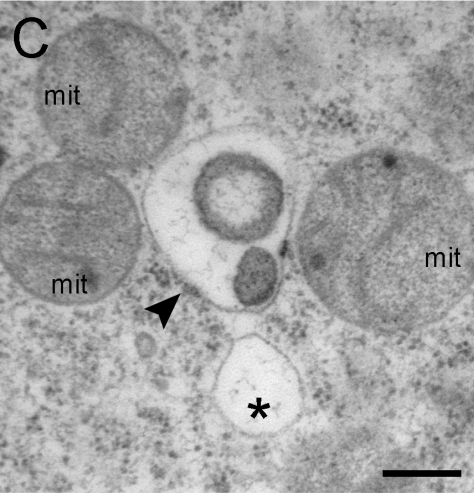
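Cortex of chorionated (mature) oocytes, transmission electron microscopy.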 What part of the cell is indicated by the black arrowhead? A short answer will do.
autophagic organelles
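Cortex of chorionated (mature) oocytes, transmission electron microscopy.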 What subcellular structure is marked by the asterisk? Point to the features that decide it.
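The marked structure is a membrane-bound space with pale, nearly featureless content. It lies beside a larger vacuole that does contain structures. The answer: empty vacuoles.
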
